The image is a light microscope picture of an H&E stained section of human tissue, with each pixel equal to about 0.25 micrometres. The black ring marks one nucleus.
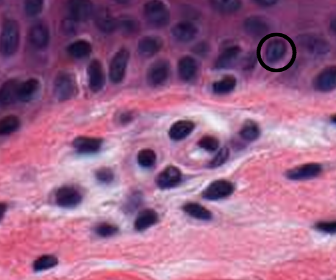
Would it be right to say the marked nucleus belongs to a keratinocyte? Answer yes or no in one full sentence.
Yes, a keratinocyte is the owner of the marked nucleus.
